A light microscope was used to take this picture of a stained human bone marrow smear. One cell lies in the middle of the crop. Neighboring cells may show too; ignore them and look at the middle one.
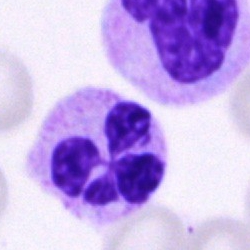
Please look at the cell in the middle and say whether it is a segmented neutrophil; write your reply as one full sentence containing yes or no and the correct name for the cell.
Yes, the cell here in the middle is a segmented neutrophil.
